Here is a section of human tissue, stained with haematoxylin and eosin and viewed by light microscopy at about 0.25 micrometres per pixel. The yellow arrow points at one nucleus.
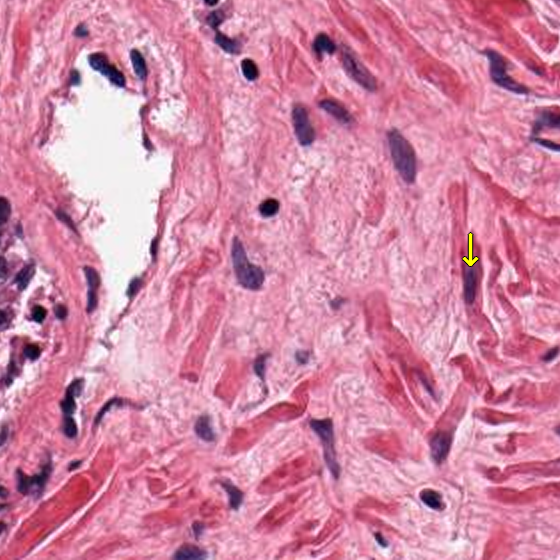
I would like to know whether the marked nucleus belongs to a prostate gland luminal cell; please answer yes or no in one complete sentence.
No, the marked nucleus does not form part of a prostate gland luminal cell.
